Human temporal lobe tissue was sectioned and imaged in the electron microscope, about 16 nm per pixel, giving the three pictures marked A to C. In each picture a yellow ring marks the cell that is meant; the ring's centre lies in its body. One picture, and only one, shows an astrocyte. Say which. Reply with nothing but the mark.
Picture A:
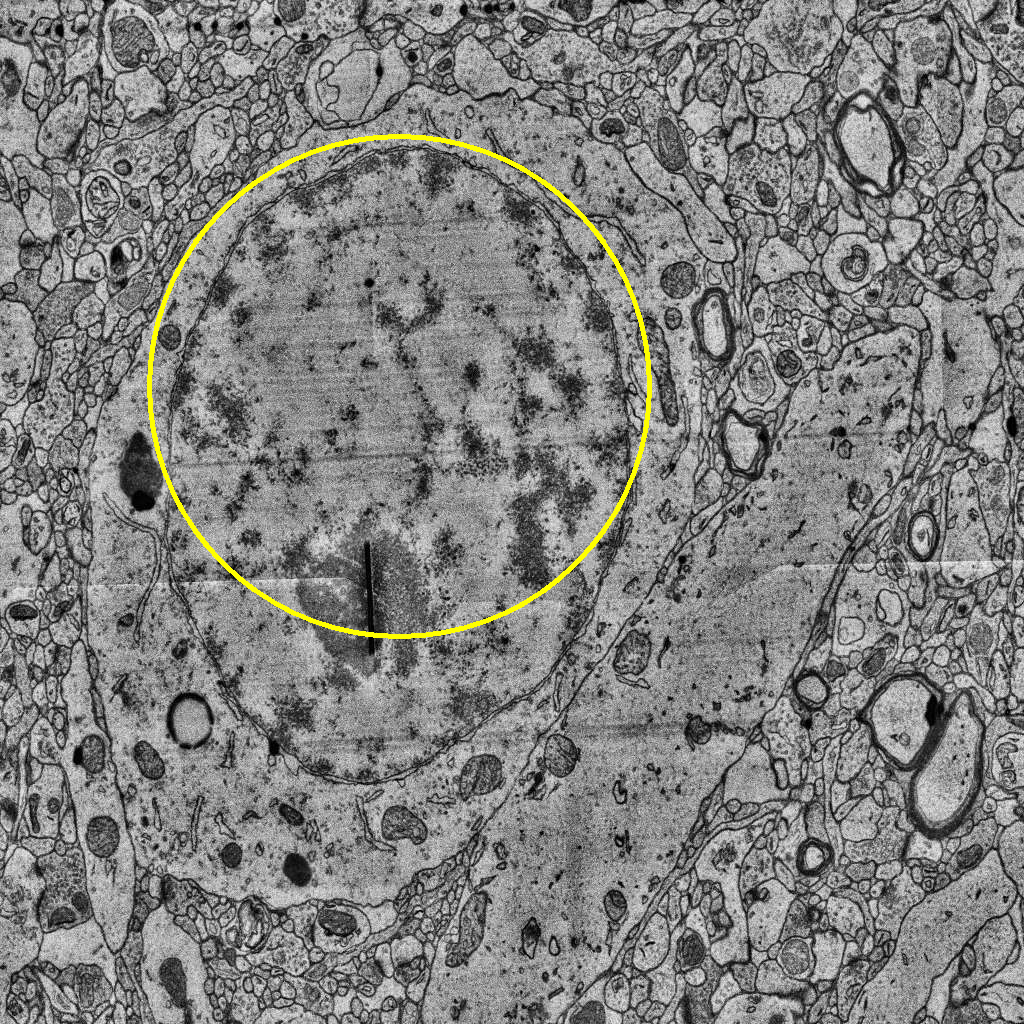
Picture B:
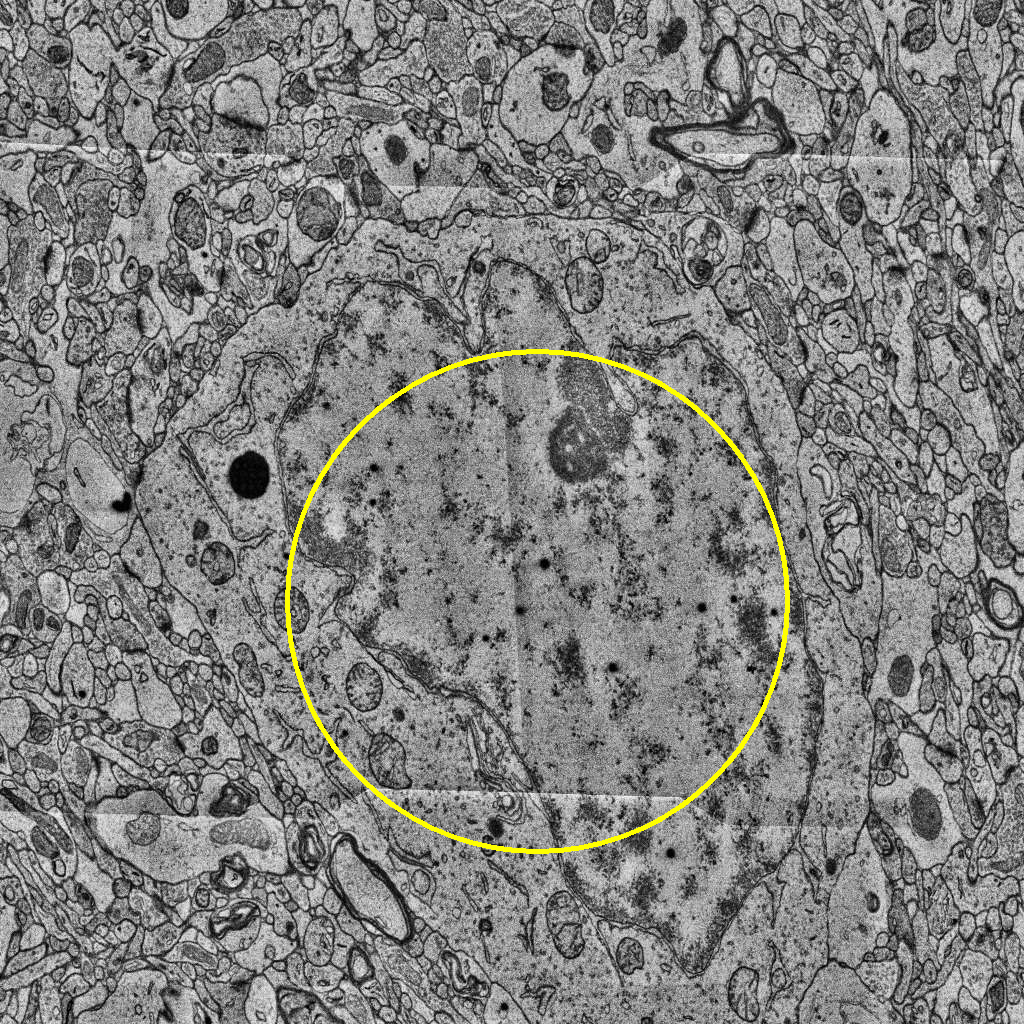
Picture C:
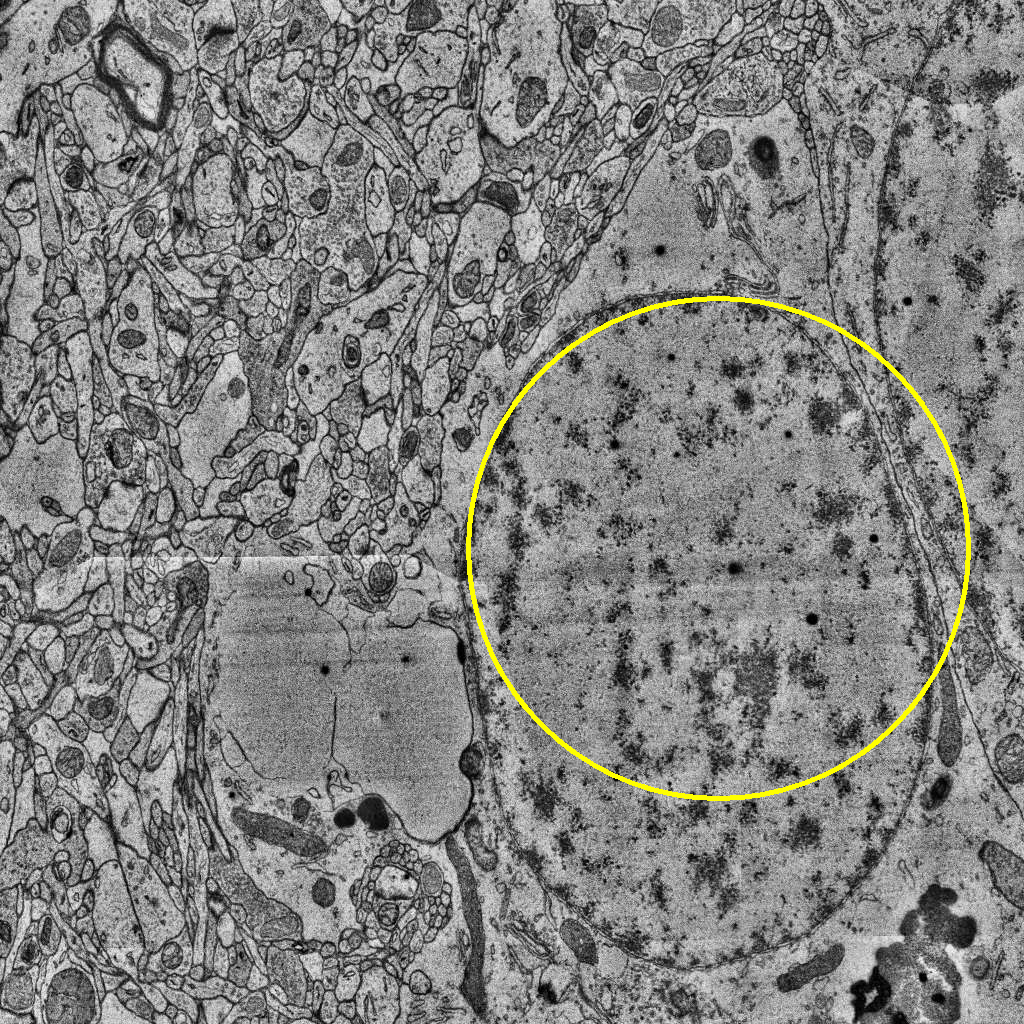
C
